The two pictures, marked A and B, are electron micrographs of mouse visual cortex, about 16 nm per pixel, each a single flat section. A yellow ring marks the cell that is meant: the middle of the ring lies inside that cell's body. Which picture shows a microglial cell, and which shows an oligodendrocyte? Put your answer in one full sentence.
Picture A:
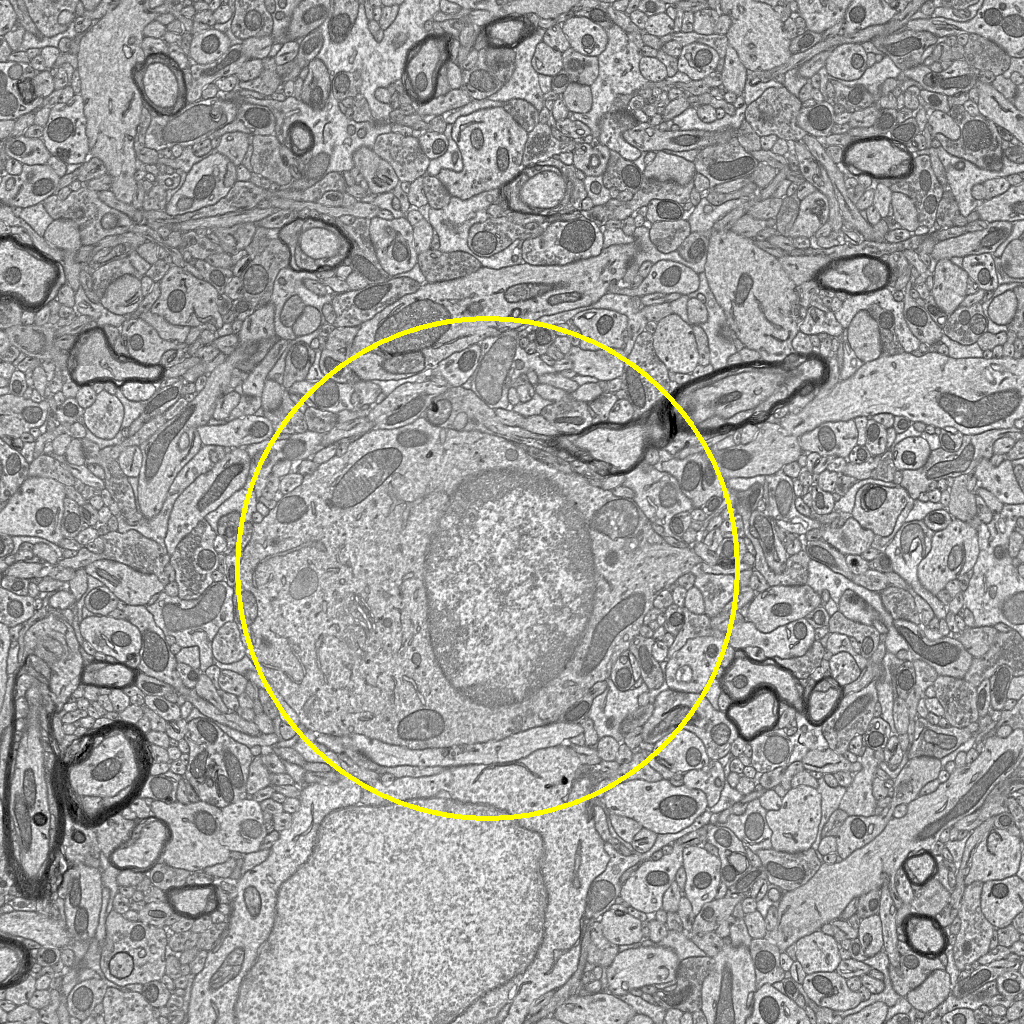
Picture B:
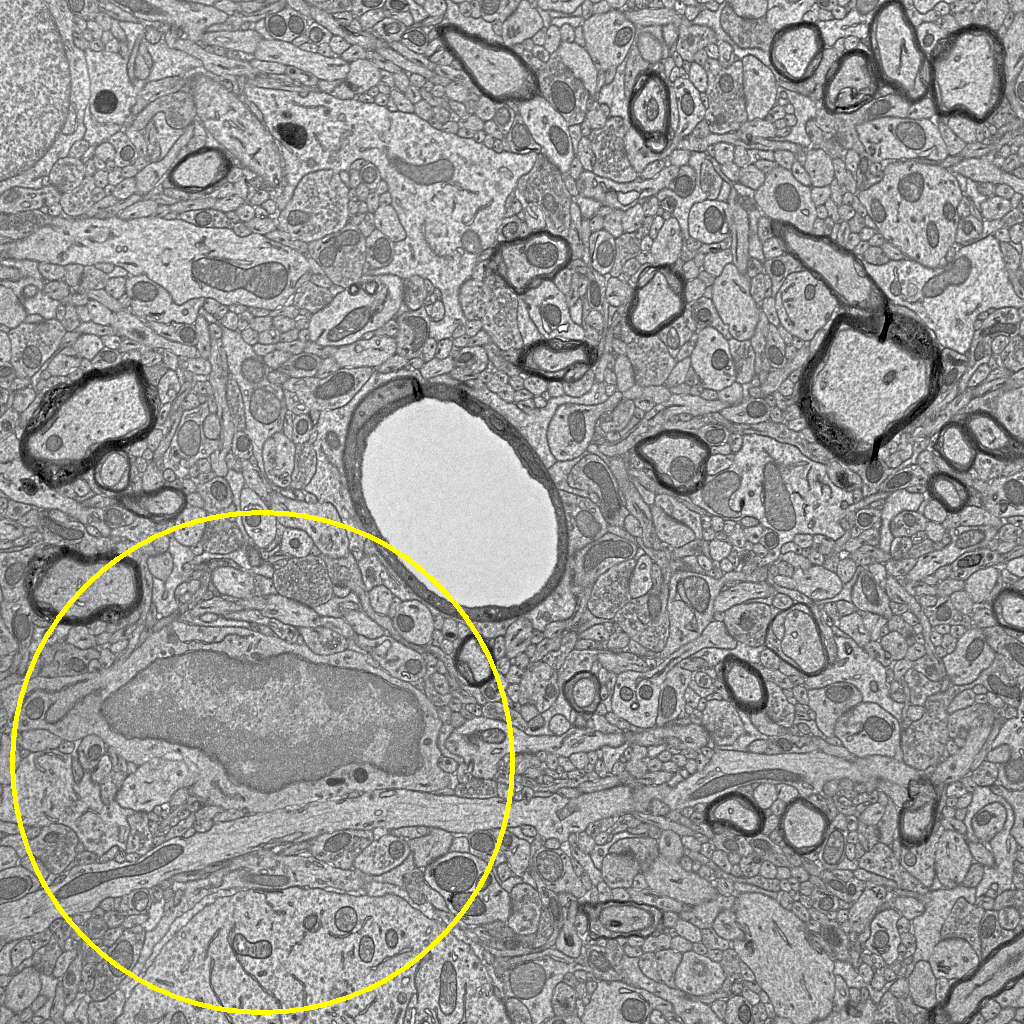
Picture B shows a microglial cell, while picture A shows an oligodendrocyte.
